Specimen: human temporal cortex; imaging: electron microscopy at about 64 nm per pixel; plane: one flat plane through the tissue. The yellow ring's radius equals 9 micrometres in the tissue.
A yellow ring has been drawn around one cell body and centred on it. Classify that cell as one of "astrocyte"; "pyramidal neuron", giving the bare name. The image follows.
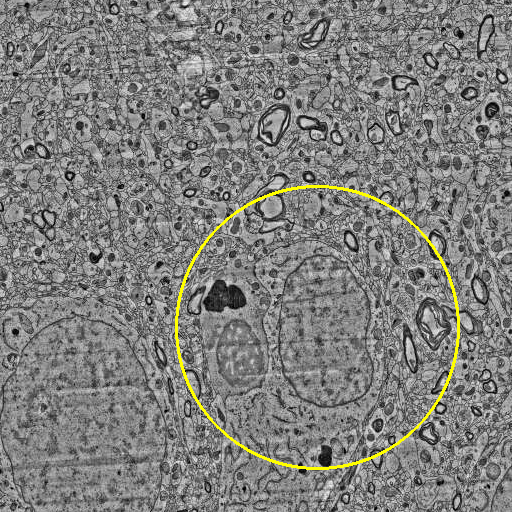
pyramidal neuron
